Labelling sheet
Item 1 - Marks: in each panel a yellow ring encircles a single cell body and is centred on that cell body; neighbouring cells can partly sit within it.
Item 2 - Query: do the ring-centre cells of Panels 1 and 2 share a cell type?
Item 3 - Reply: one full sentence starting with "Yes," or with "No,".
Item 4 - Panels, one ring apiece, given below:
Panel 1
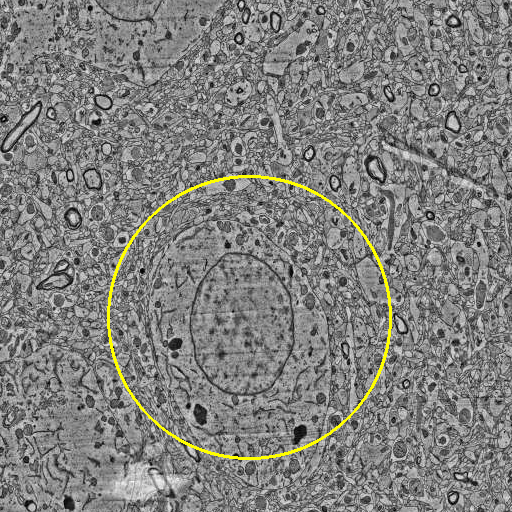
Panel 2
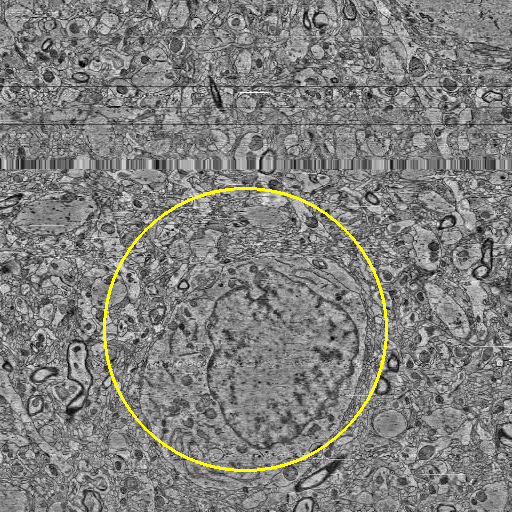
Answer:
No, Panel 1 and Panel 2 show two cell types at the centres of their rings.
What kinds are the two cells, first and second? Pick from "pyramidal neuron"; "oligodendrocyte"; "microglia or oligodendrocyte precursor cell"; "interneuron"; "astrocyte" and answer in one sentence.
The second picture holds an interneuron in its ring, and the first holds a pyramidal neuron.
